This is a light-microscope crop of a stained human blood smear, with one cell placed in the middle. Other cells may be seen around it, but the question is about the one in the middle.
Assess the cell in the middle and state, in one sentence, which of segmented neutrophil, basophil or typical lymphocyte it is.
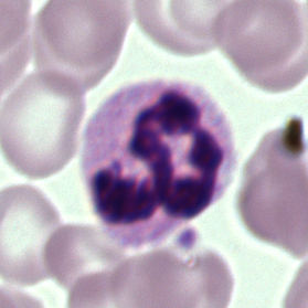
The central cell in this smear crop is a segmented neutrophil.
